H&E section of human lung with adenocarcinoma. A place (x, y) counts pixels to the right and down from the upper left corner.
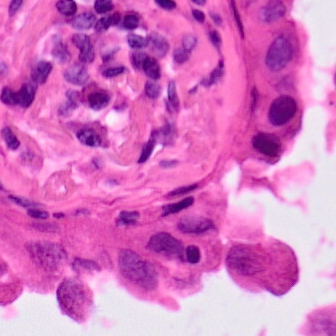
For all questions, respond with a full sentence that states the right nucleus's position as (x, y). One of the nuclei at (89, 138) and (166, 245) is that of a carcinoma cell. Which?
Of these two nuclei, it is the one at (166, 245) that belongs to a carcinoma cell.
